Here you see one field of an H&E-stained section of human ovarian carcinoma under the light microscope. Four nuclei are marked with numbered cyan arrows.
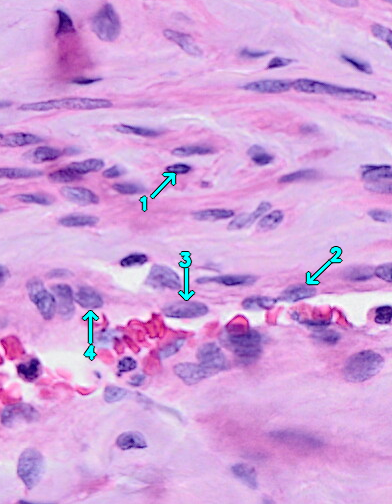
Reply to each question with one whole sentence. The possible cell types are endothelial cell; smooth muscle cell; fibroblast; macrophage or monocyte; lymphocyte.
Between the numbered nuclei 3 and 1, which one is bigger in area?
The larger nucleus is 3, at roughly 3 times the area of 1.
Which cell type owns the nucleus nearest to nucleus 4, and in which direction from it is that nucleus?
The nearest one is an endothelial cell, found to the left of nucleus 4.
